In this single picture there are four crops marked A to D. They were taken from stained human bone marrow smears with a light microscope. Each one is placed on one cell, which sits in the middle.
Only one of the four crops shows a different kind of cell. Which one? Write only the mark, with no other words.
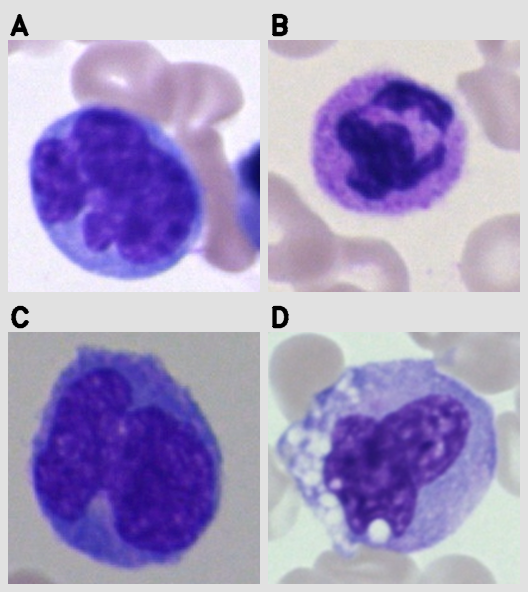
B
